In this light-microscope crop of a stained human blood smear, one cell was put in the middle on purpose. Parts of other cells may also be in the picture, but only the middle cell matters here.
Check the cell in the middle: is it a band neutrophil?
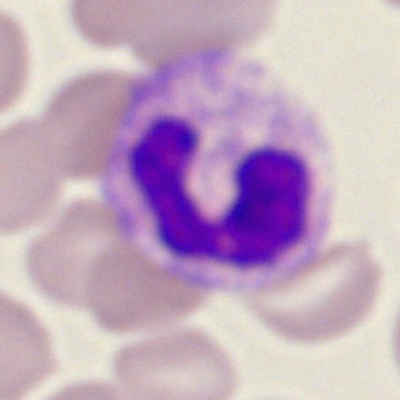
yes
